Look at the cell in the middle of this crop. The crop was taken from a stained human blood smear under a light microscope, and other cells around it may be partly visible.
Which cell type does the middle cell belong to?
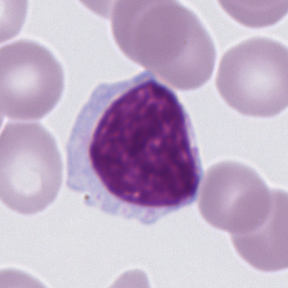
large granular lymphocyte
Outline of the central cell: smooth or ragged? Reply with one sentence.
The cell outline lacks smoothness, being ragged or extended into projections.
